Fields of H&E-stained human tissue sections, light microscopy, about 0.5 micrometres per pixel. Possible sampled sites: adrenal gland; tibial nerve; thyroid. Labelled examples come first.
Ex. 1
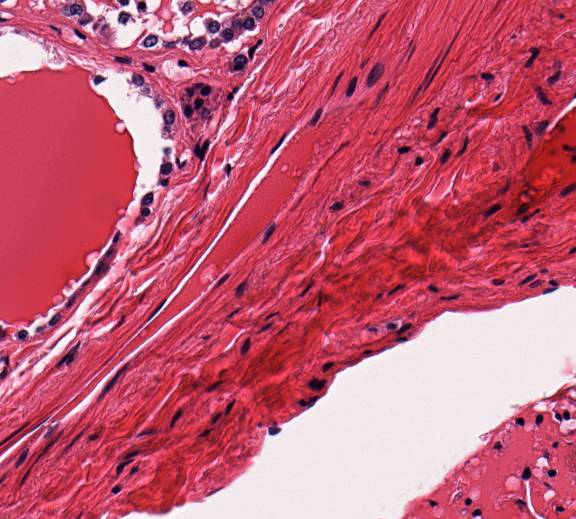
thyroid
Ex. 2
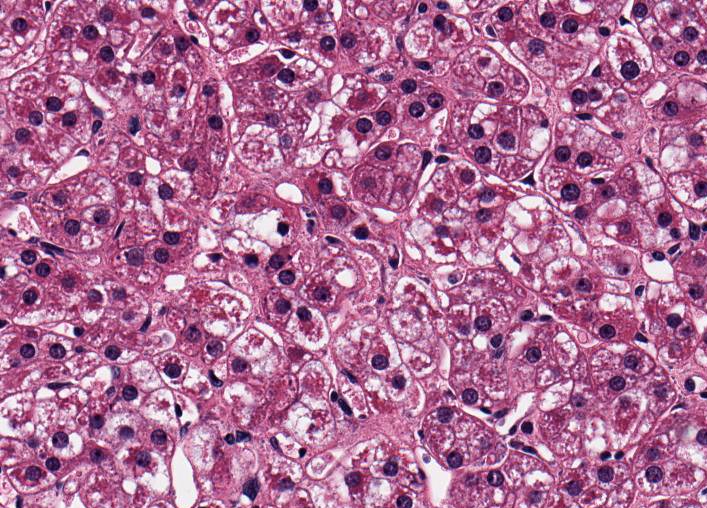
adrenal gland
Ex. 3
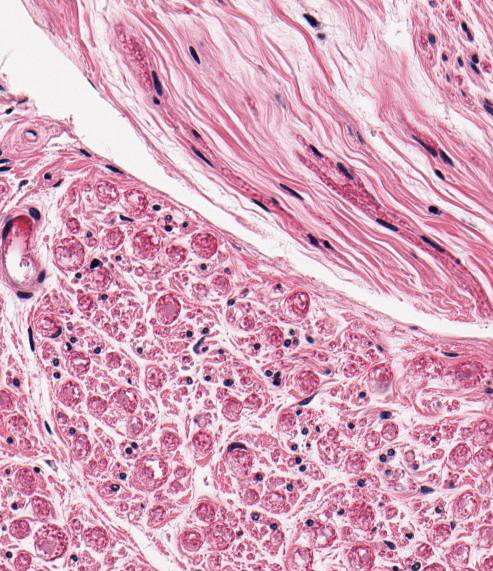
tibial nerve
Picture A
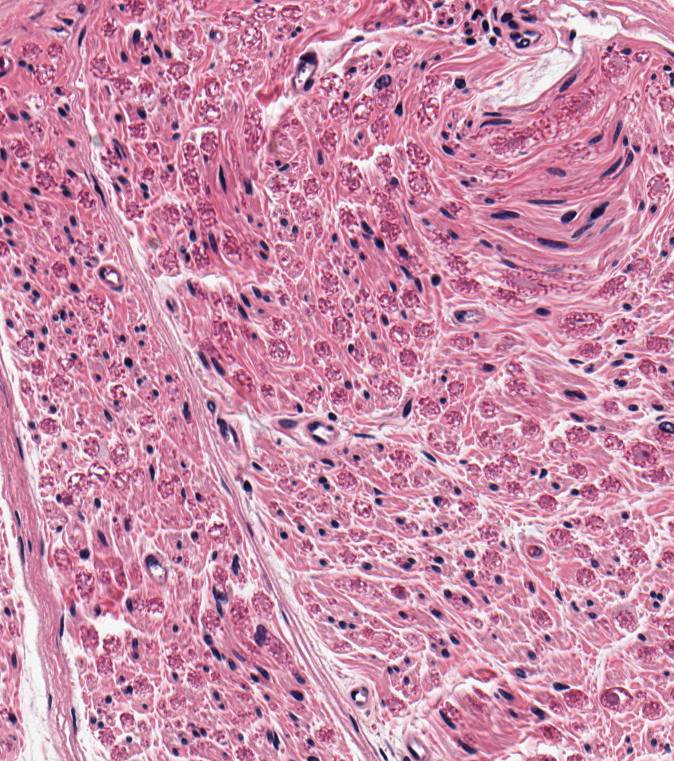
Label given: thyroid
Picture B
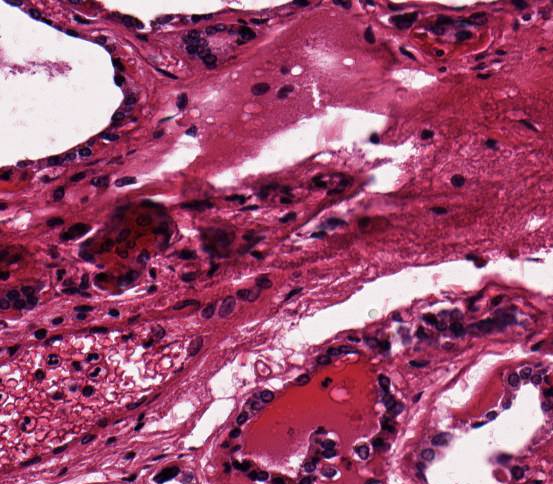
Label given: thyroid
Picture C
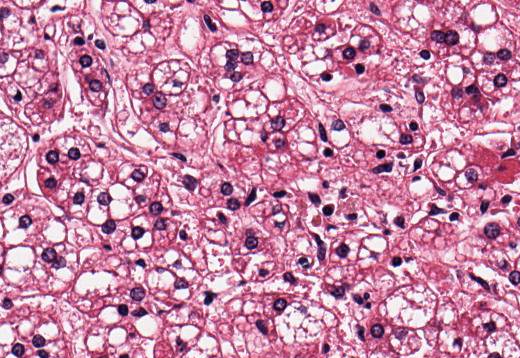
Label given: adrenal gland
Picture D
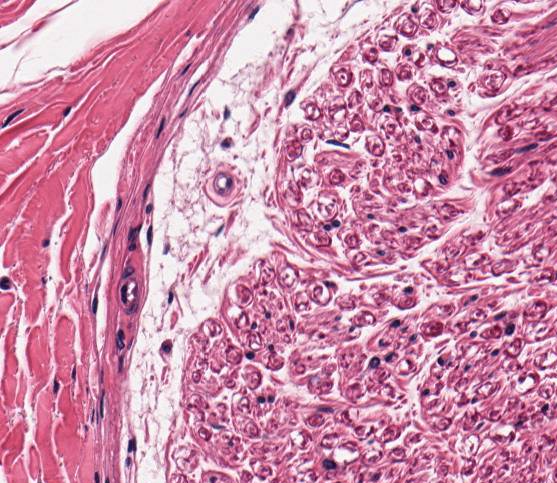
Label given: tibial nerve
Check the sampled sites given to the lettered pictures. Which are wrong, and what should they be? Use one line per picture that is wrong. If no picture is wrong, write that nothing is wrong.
A: not thyroid but tibial nerve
